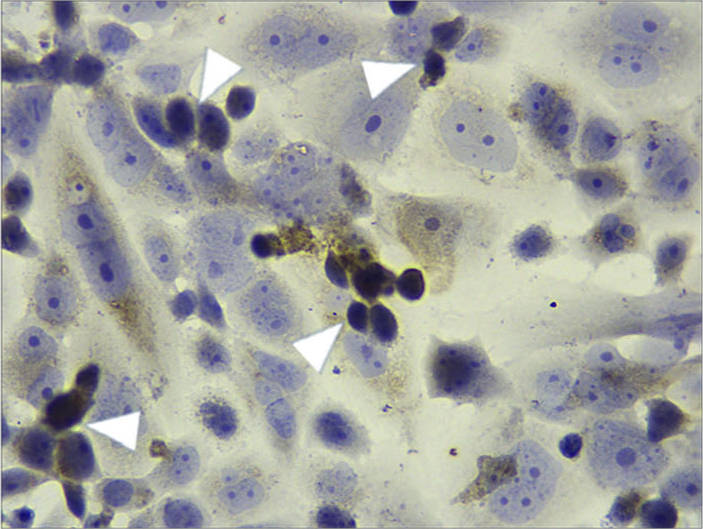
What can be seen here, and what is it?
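Cultured cells lie in a flat monolayer, most of them broad polygonal or elongated spindle-shaped cells with pale blue-grey cytoplasm and clear borders. Their nuclei are oval, pale blue, and often hold one or more small dark nucleoli. Scattered among them, and gathered in small clusters, are small rounded cells whose nuclei are stained deep brown to almost black. Fine brown granules also lie in the cytoplasm of some of the flat cells and in small deposits between cells. A few cells are rounded and darker blue, standing out from the spread, flattened cells around them.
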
